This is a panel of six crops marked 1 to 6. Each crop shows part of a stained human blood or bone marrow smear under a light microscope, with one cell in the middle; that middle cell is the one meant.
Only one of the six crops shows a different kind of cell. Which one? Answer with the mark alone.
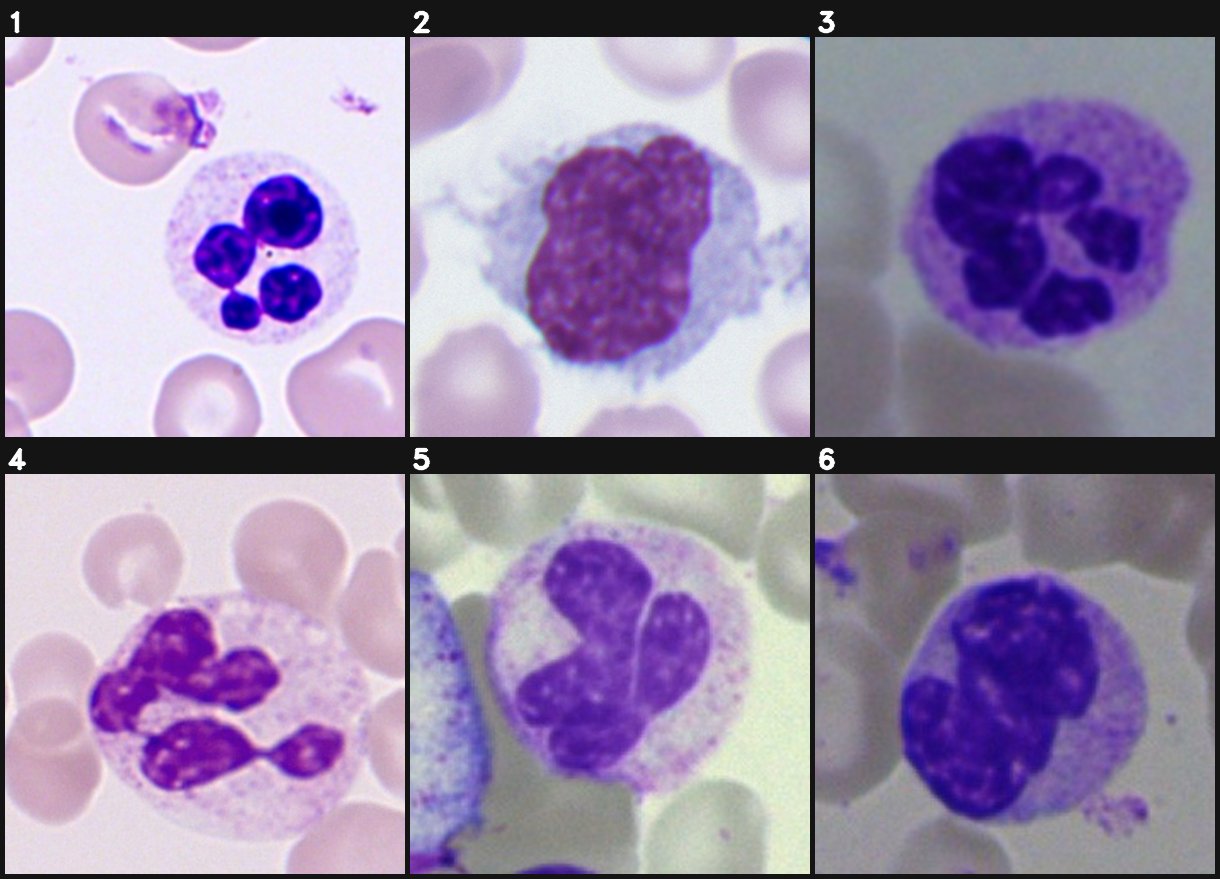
2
